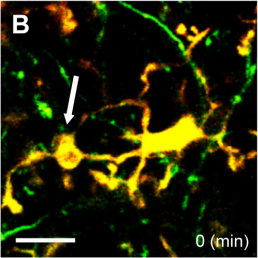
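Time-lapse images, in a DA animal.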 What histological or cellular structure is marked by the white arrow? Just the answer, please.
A: Phagocytic cup.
